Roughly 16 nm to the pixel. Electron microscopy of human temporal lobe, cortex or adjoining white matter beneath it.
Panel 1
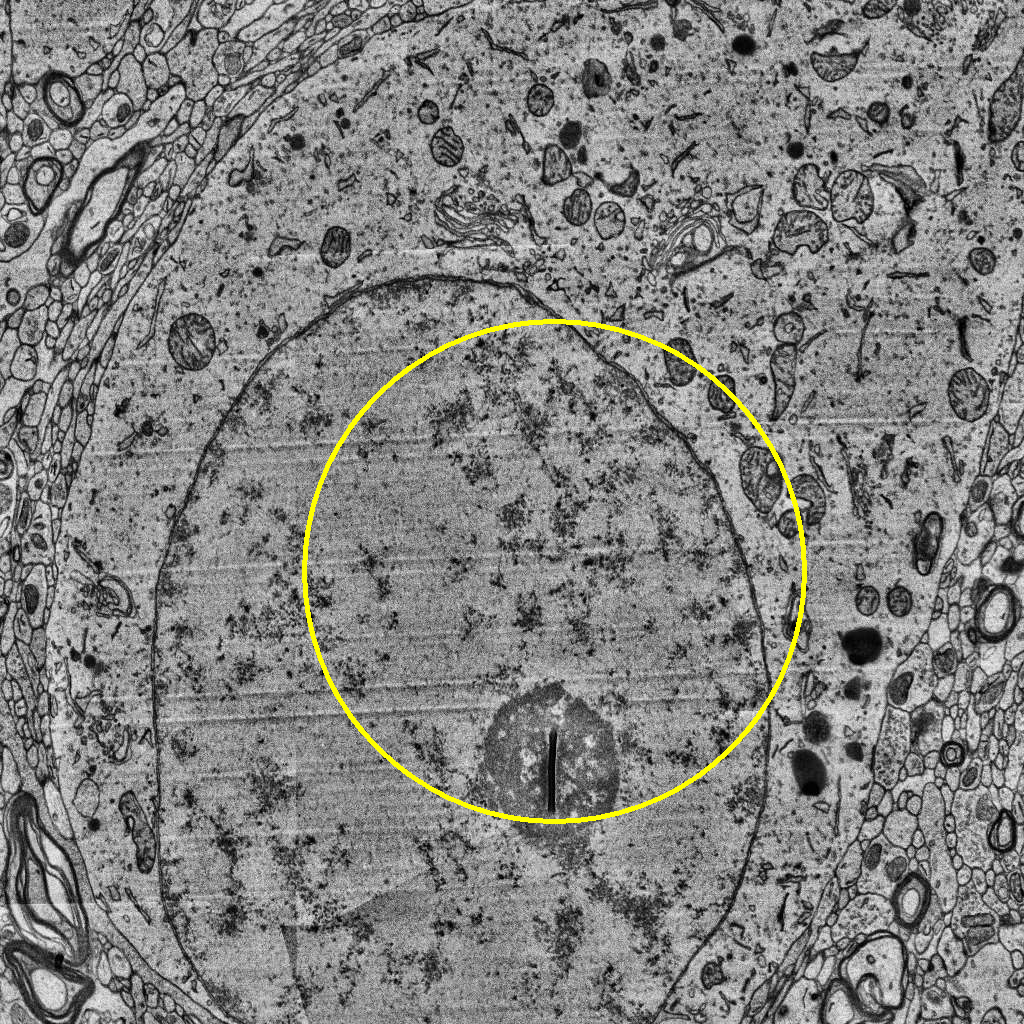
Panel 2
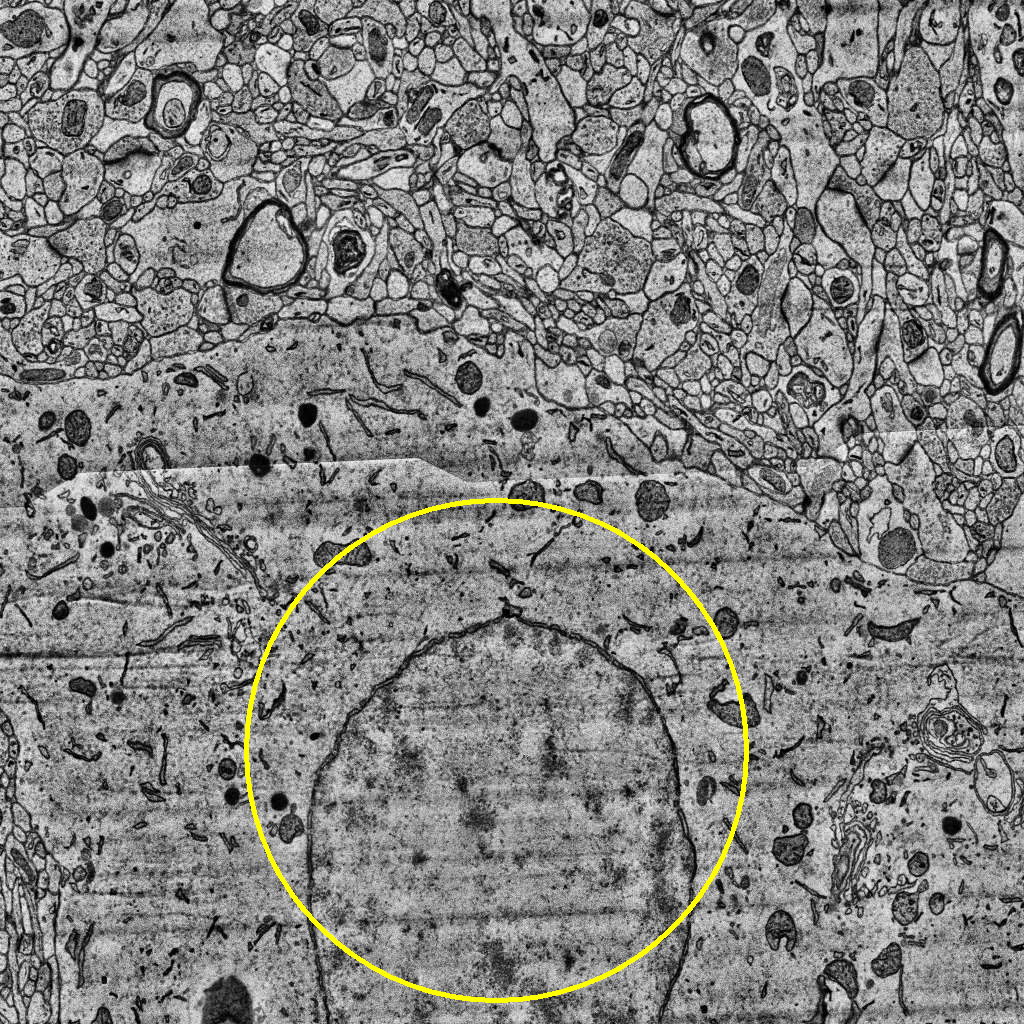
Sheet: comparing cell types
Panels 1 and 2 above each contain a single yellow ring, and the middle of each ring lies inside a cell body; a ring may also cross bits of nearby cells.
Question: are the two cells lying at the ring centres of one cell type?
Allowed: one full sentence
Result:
Yes, the cells at the ring centres in Panel 1 and Panel 2 are of one type.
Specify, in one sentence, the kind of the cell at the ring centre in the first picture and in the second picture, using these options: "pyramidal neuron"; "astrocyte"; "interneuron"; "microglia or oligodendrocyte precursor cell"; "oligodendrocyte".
Each of the two cells is a pyramidal neuron.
